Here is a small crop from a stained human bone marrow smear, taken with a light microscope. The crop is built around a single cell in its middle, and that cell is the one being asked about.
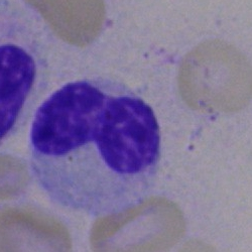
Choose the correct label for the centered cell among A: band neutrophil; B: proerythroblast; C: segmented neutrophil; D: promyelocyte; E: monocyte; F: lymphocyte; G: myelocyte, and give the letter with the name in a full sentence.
The cell in the middle is a band neutrophil, and so option A is correct.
